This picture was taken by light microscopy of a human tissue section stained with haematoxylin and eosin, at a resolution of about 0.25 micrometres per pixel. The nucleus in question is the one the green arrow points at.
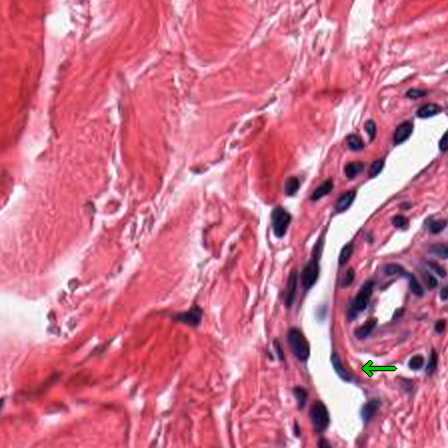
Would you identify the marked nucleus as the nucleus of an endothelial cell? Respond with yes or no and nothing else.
yes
